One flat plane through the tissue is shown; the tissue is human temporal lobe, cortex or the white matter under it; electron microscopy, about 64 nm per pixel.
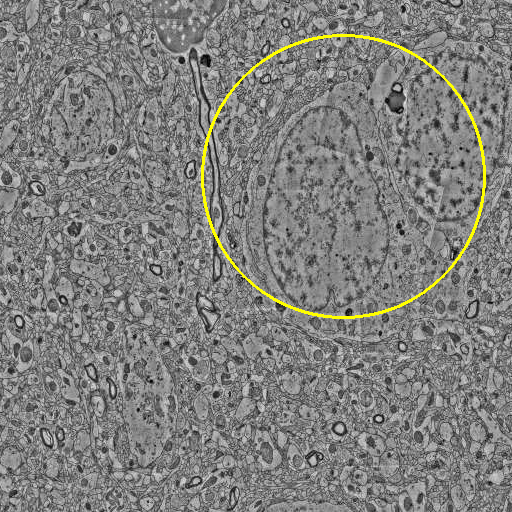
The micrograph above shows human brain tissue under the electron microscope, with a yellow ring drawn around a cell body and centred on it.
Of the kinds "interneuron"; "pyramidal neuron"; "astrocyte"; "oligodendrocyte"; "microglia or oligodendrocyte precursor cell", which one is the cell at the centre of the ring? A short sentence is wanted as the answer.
The one at the centre of the ring is an interneuron.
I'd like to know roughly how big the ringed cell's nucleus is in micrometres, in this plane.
Clearly longer than it is wide in this plane, the nucleus measures roughly 13 by 8 micrometres.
